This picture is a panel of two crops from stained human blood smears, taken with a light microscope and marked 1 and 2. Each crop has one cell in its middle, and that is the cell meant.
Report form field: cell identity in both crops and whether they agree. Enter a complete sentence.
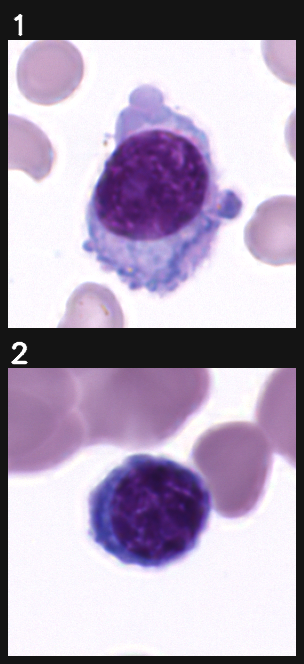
Yes, the cells in both crops are plasma cells.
